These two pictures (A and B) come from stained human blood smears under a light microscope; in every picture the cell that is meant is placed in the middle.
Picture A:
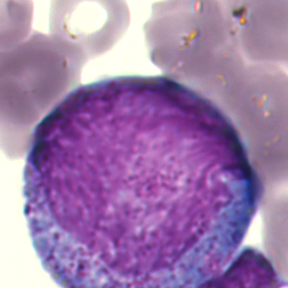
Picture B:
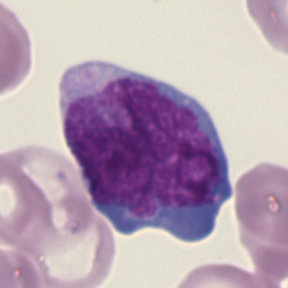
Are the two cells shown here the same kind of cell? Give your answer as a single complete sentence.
No, the types are not the same, since picture A shows a promyelocyte and picture B a myeloblast.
